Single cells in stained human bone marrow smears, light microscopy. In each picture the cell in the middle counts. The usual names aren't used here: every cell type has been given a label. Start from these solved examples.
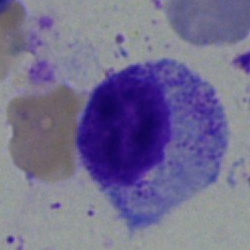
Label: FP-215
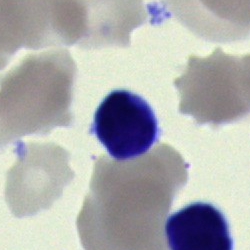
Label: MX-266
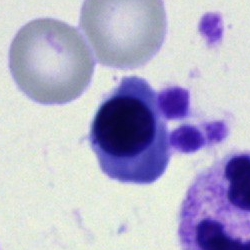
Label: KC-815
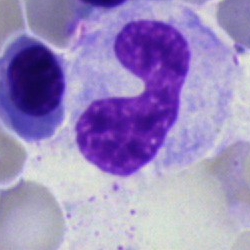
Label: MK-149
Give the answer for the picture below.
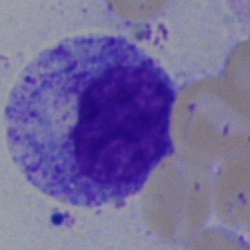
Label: FP-215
